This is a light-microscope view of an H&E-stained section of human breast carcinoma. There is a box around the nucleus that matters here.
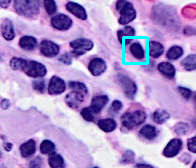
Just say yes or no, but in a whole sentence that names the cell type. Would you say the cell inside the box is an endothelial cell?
No, on this slide the cell inside the box is a lymphocyte, not an endothelial cell.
